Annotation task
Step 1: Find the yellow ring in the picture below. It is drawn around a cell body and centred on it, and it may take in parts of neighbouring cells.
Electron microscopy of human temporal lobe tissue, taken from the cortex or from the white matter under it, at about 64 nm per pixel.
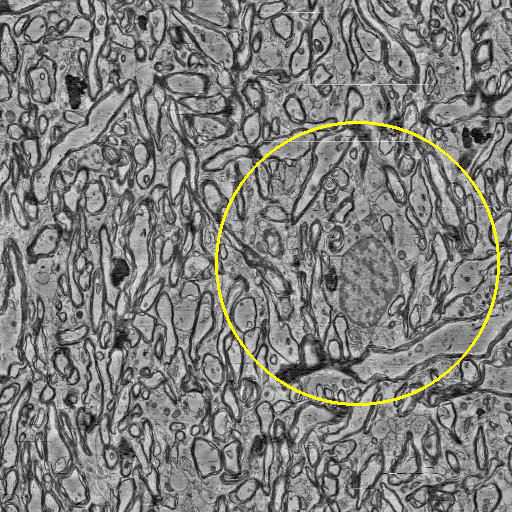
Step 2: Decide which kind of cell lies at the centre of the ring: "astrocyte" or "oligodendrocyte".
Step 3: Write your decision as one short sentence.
The kind of cell at the ring's centre is an oligodendrocyte.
